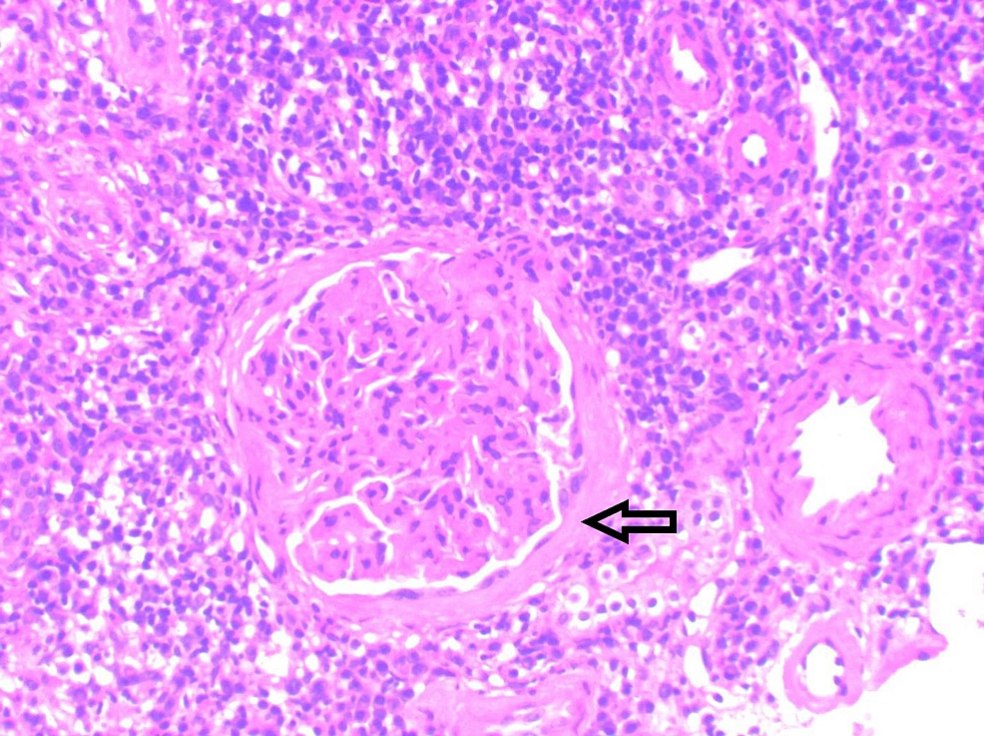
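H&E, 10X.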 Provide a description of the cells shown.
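This is kidney tissue with a glomerulus at the centre: its tuft is crowded with many nuclei in a pink matrix, and it is wrapped by a thick, layered pink ring of fibrous tissue with flattened, spindle-shaped nuclei. All around it, the space between tubules and small thick-walled vessels is packed with sheets of small, round, dark-nucleated inflammatory cells.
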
